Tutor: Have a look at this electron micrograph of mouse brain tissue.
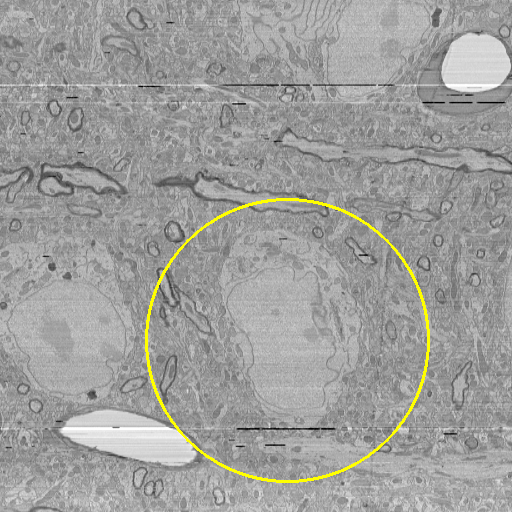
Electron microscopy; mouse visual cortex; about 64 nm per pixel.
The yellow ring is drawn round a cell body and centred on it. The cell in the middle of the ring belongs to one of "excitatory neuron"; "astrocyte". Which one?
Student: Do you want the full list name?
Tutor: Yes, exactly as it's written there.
excitatory neuron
